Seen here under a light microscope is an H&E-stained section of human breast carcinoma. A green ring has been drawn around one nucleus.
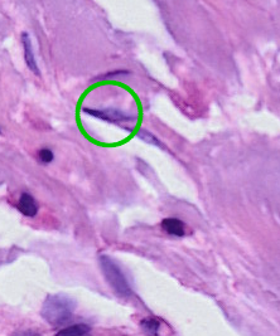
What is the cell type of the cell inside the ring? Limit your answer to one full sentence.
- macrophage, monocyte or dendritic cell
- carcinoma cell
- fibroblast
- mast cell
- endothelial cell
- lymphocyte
For cell typing purposes, the cell inside the ring is a fibroblast.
